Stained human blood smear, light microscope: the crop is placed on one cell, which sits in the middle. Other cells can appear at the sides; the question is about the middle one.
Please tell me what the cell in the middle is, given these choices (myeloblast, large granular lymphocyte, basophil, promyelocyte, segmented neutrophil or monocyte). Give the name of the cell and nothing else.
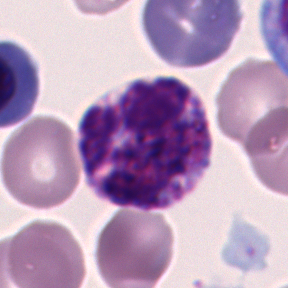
basophil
